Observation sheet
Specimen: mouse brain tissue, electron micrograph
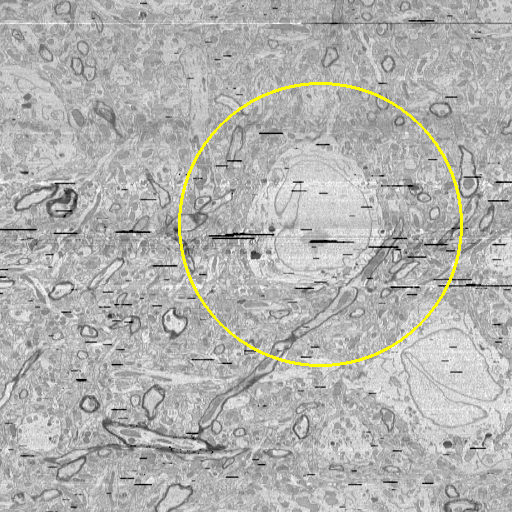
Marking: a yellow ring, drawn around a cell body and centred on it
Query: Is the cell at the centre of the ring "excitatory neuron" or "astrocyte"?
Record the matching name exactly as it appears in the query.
excitatory neuron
